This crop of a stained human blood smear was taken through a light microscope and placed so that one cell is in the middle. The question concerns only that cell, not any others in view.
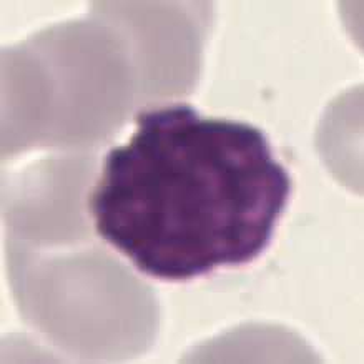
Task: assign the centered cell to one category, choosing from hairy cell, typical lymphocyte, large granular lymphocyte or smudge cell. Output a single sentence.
The centrally placed cell is classified as a smudge cell.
